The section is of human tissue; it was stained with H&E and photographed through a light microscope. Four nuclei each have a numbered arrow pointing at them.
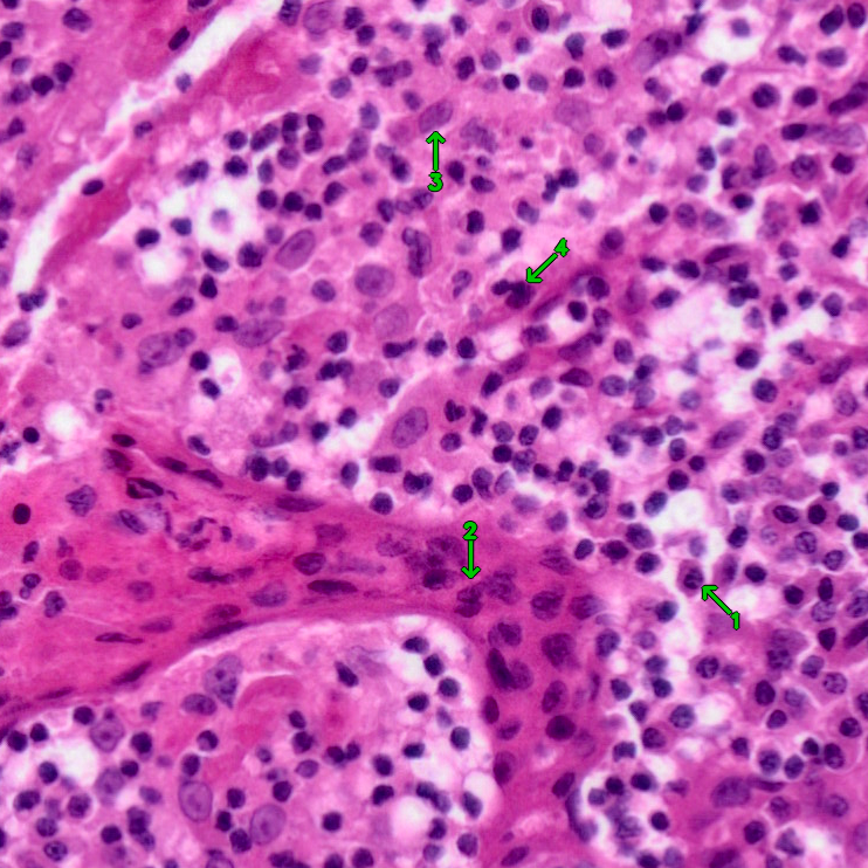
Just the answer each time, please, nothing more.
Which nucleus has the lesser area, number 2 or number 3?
2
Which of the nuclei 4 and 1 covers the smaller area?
1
